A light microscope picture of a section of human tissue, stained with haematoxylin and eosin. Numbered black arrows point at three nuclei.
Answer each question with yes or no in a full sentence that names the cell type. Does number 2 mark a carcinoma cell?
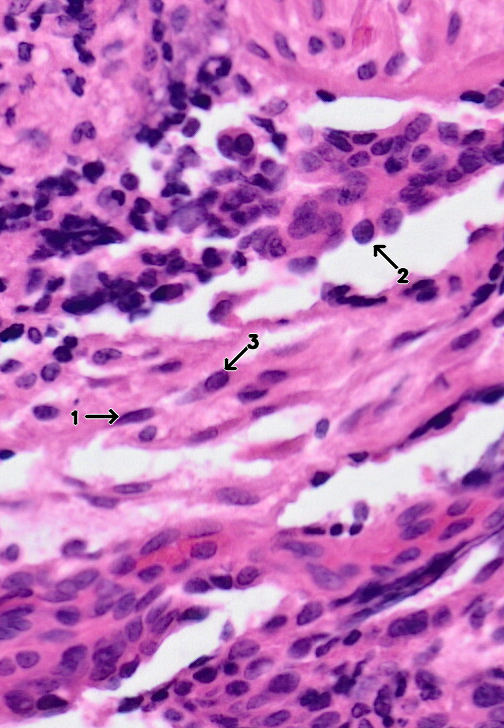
Yes, number 2 marks a cell that is a carcinoma cell.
